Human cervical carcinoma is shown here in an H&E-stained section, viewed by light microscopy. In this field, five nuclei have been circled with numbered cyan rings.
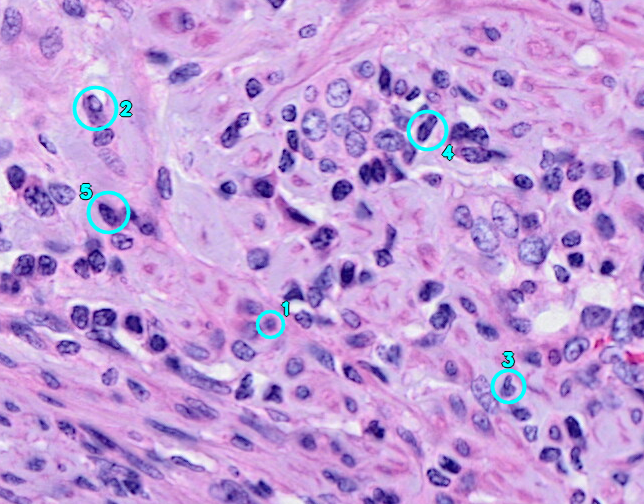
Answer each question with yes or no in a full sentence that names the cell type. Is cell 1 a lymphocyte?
No, the cell at marker 1 is not a lymphocyte; it is a smooth muscle cell.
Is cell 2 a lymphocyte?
No, it's not a lymphocyte at number 2; that cell is a macrophage or monocyte.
